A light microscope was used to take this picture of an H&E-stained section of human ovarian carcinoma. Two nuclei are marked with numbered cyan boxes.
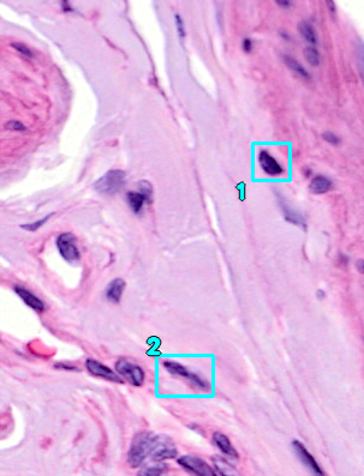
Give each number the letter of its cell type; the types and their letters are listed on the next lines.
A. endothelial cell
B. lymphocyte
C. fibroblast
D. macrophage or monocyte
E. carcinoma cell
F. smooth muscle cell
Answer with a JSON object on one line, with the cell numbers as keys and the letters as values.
{"1": "B", "2": "C"}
